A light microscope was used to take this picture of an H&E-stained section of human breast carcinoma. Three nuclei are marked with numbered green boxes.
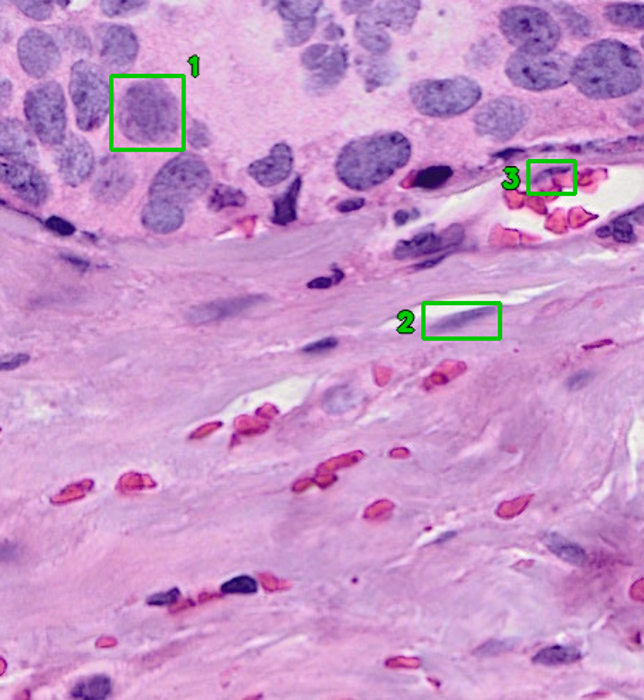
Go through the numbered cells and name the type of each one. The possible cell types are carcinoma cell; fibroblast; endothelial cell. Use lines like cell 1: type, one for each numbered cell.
cell 1: carcinoma cell
cell 2: fibroblast
cell 3: endothelial cell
